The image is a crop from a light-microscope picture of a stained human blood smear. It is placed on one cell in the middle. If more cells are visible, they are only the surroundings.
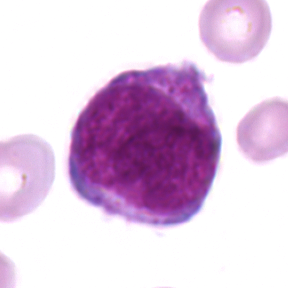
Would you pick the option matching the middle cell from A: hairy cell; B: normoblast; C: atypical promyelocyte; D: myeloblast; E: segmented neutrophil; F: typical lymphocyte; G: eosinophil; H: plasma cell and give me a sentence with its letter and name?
Option C is correct here, and the cell in the middle is an atypical promyelocyte.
